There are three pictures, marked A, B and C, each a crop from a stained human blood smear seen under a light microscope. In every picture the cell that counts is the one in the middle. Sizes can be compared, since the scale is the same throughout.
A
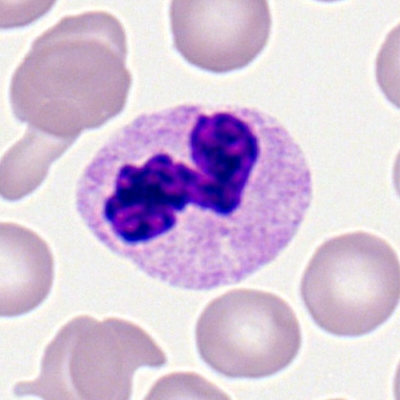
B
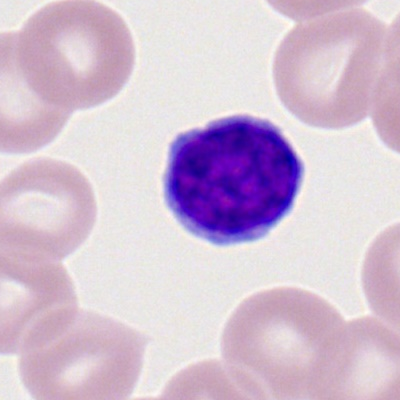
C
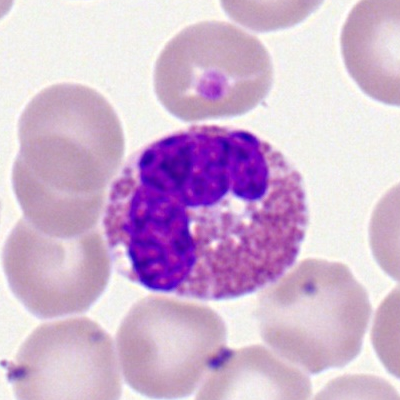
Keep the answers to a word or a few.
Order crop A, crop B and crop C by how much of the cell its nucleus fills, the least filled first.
A, C, B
